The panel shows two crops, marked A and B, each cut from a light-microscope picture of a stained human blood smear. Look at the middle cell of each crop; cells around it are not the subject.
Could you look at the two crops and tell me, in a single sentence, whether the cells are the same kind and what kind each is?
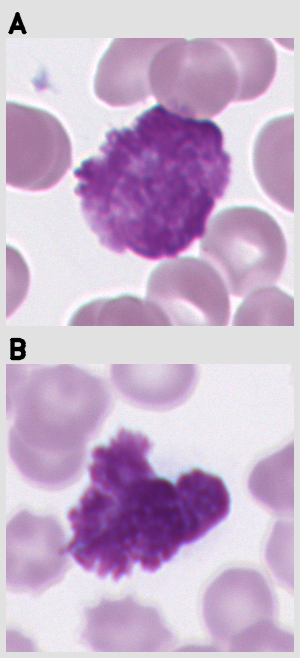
Yes, the two crops are alike in showing smudge cells.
